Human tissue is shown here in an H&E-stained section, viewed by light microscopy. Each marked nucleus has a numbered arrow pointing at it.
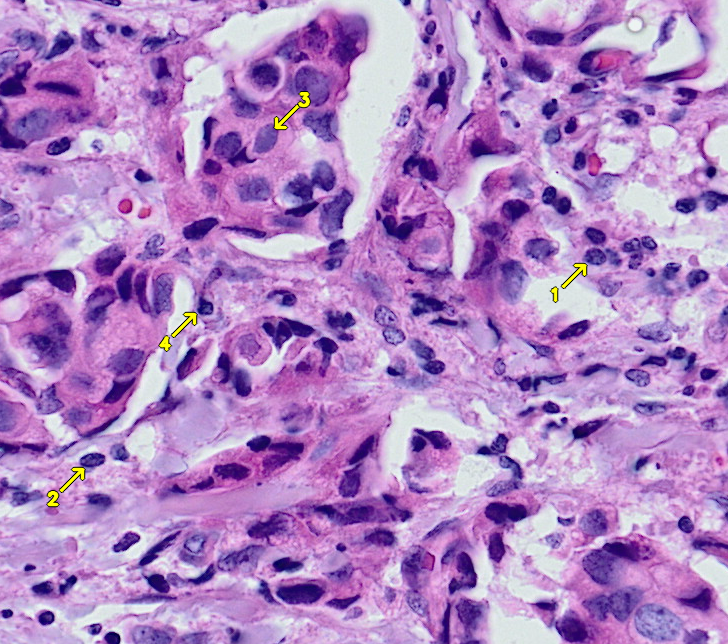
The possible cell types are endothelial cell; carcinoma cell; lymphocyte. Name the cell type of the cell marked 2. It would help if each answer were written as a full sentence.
The one numbered 2 among the marked cells is a lymphocyte.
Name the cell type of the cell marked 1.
It is as a lymphocyte that the cell numbered 1 is identified.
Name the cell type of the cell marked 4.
Denoted by the label 4 in the section is a lymphocyte.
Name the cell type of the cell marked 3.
The cell bearing label 3 corresponds to a carcinoma cell.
